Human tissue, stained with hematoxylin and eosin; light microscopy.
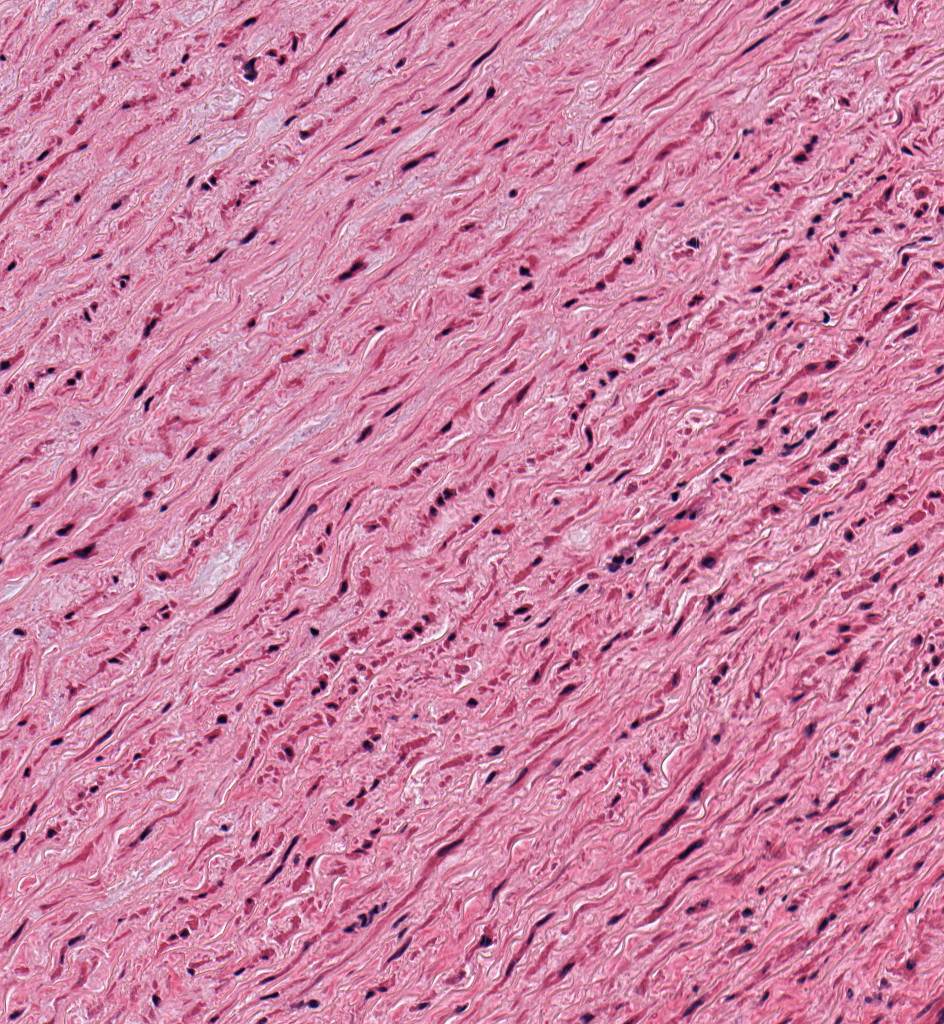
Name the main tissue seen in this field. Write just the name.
tunica media of an artery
